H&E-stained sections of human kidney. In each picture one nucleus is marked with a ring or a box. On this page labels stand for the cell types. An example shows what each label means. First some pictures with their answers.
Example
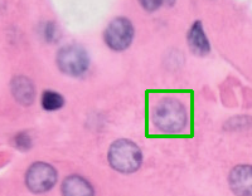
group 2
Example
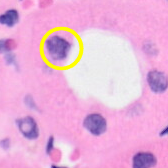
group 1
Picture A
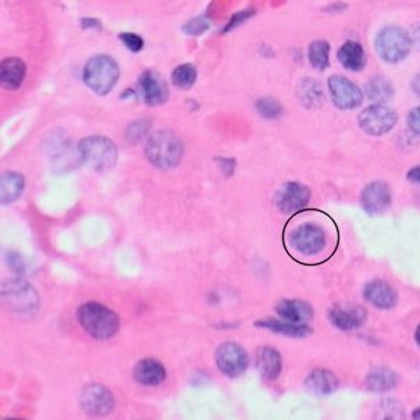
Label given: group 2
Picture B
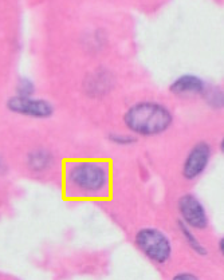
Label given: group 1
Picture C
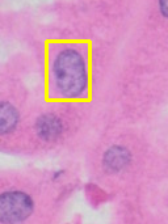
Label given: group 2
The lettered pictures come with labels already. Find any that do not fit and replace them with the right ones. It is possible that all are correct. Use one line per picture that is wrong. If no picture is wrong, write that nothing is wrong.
A should be group 1, not group 2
